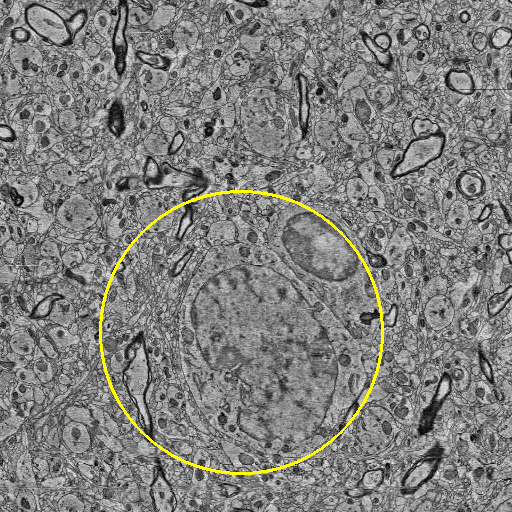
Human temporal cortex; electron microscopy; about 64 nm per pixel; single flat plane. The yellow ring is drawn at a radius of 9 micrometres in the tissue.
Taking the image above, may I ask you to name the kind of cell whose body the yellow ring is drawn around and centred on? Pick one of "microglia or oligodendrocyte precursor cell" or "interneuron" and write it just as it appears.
interneuron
